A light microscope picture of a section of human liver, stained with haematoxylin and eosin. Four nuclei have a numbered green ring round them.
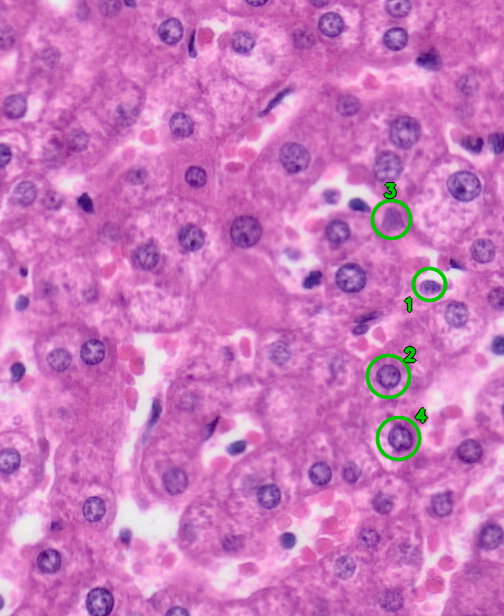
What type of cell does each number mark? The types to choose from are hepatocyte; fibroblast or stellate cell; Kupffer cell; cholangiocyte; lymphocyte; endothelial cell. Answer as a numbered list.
1. lymphocyte
2. hepatocyte
3. endothelial cell
4. hepatocyte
